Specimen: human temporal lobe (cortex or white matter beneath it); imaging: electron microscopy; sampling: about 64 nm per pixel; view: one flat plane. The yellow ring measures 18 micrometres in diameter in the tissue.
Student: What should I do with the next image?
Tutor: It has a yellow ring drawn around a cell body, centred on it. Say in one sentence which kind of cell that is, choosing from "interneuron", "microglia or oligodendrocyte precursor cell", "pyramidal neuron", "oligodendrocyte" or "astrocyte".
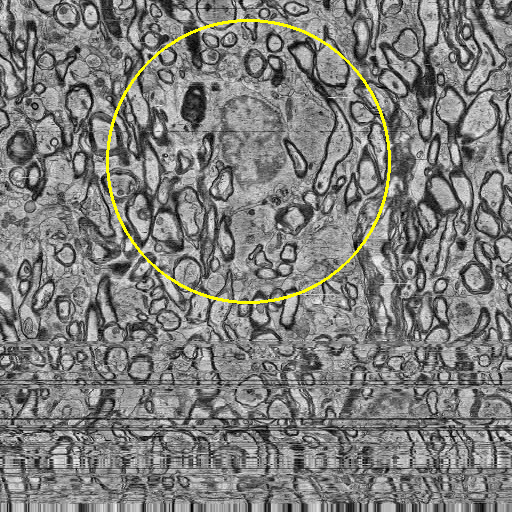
The ring's centre is occupied by an oligodendrocyte.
